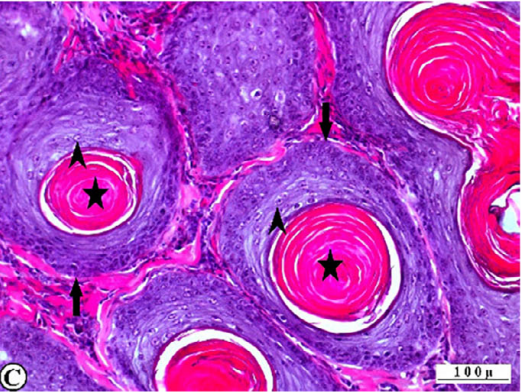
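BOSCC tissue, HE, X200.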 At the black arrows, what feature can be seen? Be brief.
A: large tumour islands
